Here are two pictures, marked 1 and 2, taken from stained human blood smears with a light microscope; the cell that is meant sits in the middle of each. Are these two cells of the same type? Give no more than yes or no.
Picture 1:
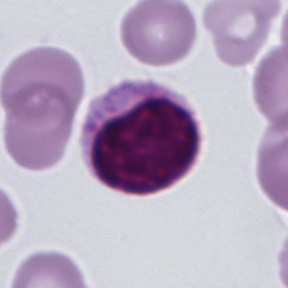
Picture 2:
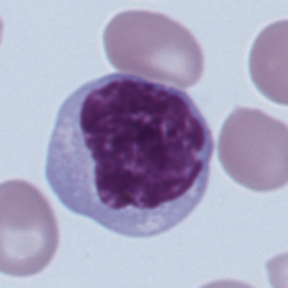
yes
